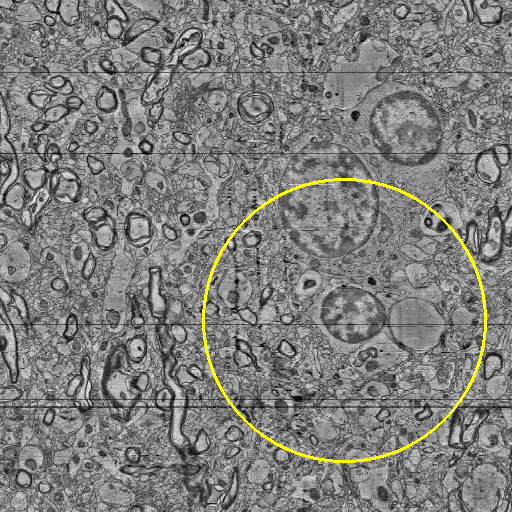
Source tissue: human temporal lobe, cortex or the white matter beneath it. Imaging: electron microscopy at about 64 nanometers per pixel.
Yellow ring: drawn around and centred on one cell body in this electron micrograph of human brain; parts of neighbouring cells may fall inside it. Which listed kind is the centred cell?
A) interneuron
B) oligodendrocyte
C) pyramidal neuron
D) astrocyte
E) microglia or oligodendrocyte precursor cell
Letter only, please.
E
